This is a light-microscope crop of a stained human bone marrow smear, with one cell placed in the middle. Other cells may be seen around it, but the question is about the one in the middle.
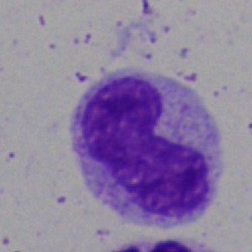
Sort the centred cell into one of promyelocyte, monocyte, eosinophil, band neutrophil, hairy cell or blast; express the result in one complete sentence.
Whatever else lies nearby, the middle cell is a band neutrophil.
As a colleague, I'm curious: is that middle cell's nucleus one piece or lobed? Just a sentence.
The nuclear material is gathered into one compact round, oval or kidney-shaped mass.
